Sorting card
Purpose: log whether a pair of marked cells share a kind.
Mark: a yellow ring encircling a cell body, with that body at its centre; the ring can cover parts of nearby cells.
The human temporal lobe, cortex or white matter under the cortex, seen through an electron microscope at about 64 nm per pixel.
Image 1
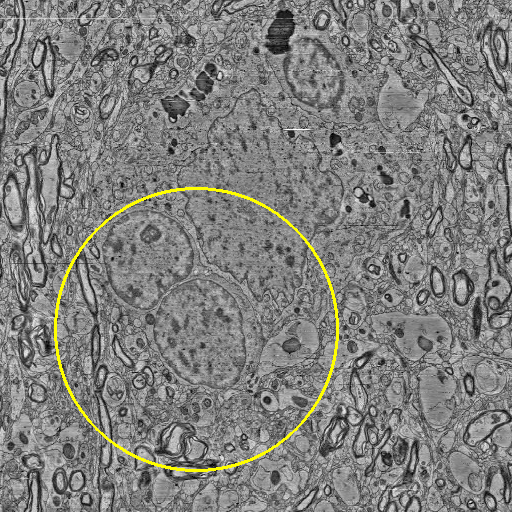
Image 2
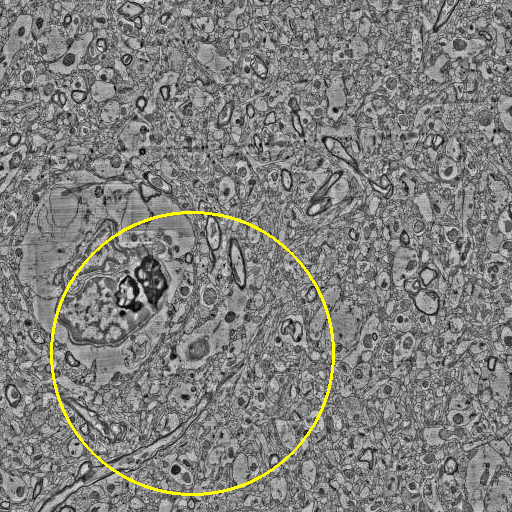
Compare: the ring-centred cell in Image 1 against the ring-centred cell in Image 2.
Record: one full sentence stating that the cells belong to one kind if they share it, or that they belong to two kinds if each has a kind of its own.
Across Images 1 and 2, the two ring-centred cells belong to two kinds.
